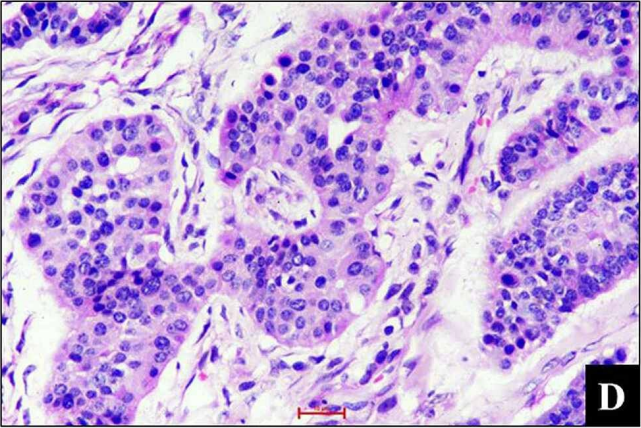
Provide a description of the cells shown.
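At high power, nests and cords of tumour cells lie separated by thin strands of pale fibrous stroma with spindle-shaped stromal nuclei. The tumour cells have round to oval nuclei that are strikingly uniform in size, with finely speckled chromatin. The cells are closely packed within the nests, and no marked variation in nuclear shape is seen.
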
